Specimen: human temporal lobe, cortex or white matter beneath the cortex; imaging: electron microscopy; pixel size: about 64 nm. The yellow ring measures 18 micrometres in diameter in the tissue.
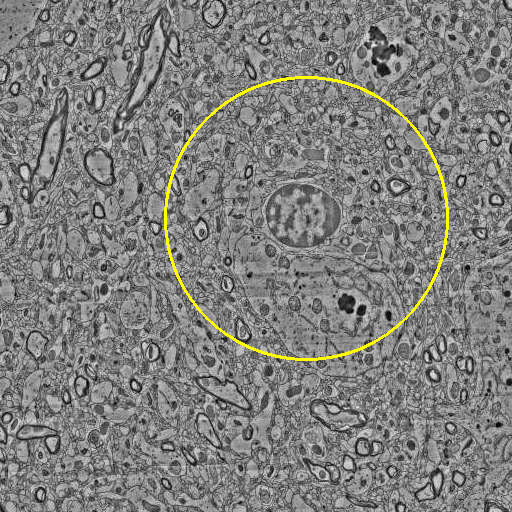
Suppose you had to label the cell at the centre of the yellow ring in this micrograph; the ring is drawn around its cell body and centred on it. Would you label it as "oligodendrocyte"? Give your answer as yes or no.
No, I would label it as another kind.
